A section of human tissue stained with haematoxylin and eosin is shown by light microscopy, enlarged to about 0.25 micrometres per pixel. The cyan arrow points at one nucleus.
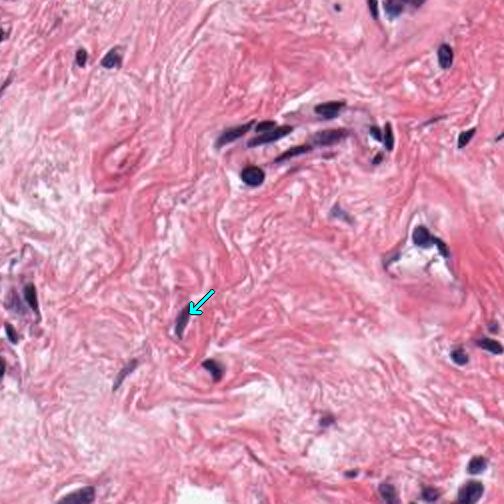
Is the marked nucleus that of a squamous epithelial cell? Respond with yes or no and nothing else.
no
